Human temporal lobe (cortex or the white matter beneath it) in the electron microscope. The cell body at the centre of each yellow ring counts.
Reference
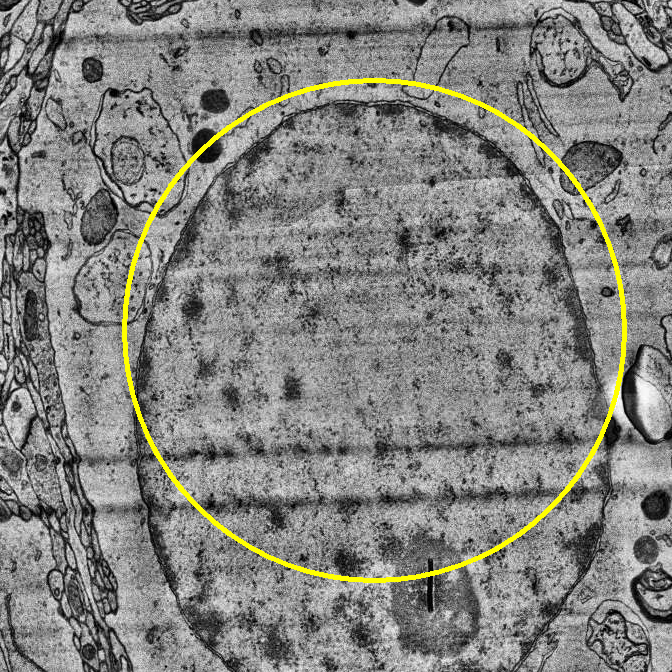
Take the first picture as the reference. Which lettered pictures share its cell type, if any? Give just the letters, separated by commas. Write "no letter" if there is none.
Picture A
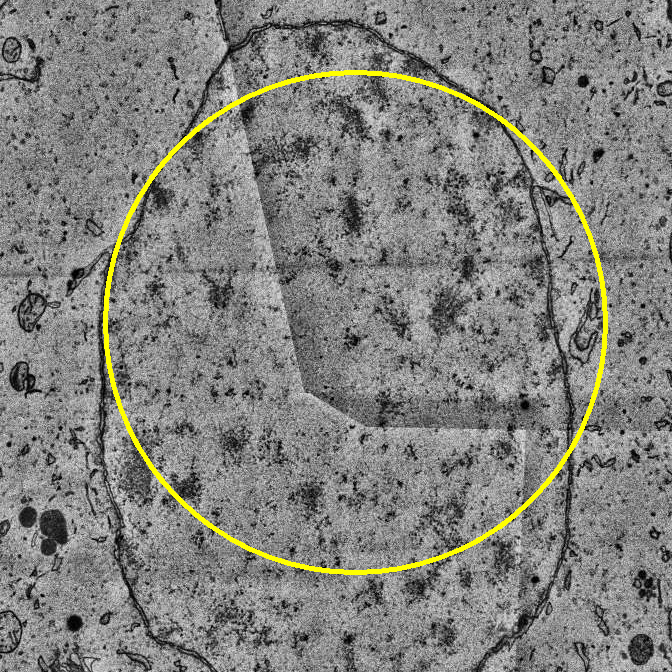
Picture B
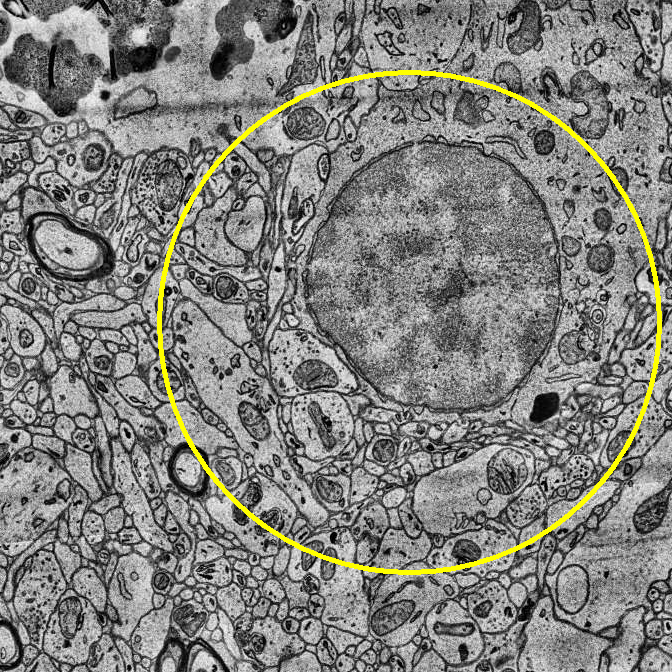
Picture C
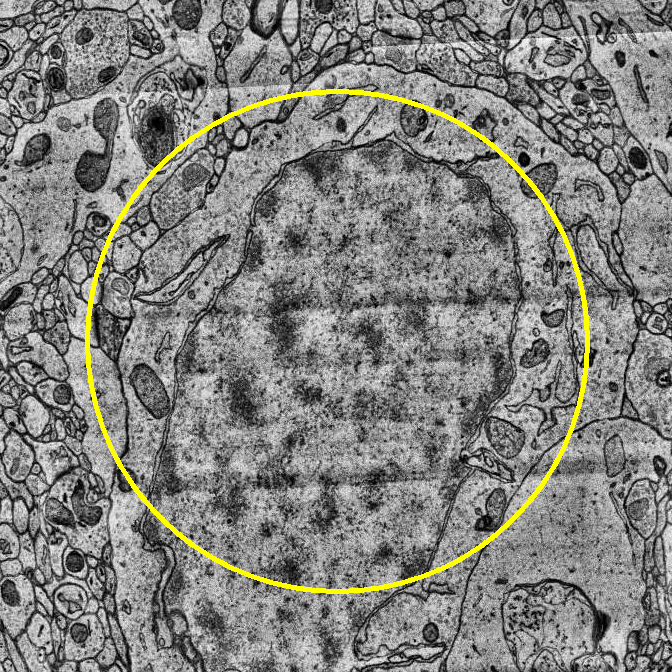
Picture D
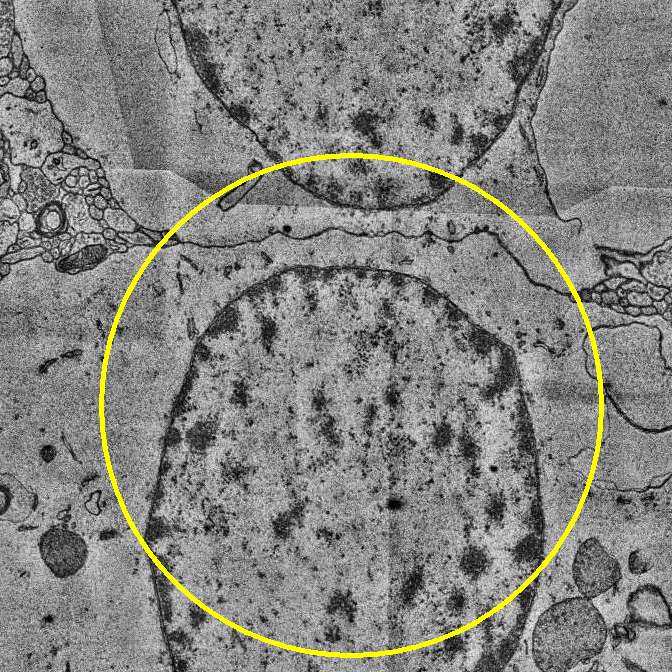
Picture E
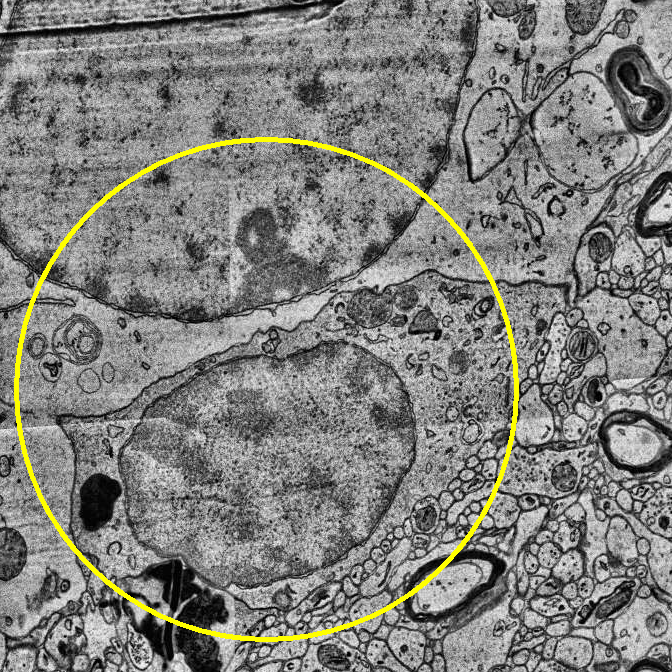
D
